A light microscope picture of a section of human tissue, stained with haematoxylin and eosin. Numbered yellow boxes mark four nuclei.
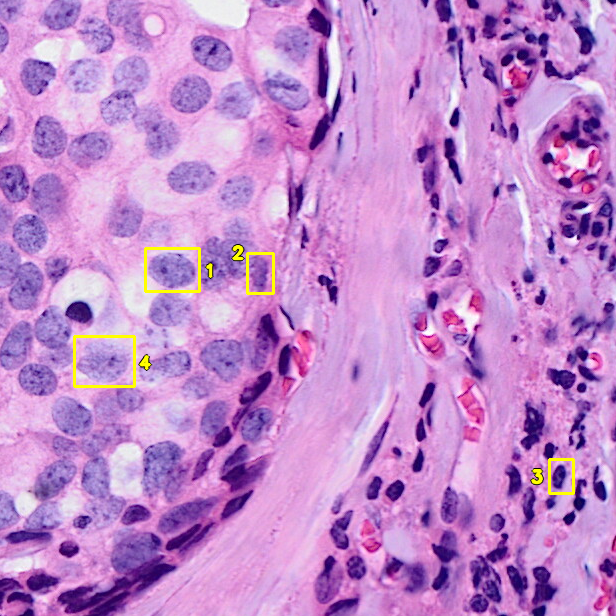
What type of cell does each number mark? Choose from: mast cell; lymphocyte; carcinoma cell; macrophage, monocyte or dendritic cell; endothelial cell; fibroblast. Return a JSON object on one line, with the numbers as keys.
{"1": "carcinoma cell", "2": "carcinoma cell", "3": "lymphocyte", "4": "carcinoma cell"}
